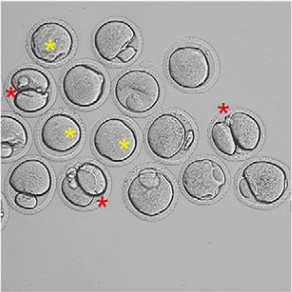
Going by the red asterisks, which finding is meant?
Symmetric division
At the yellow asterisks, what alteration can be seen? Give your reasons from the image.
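The marked oocytes are single round cells within the zona. No small body lies in the space under the zona beside them.
Answer: oocytes that failed to extrude the first polar body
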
